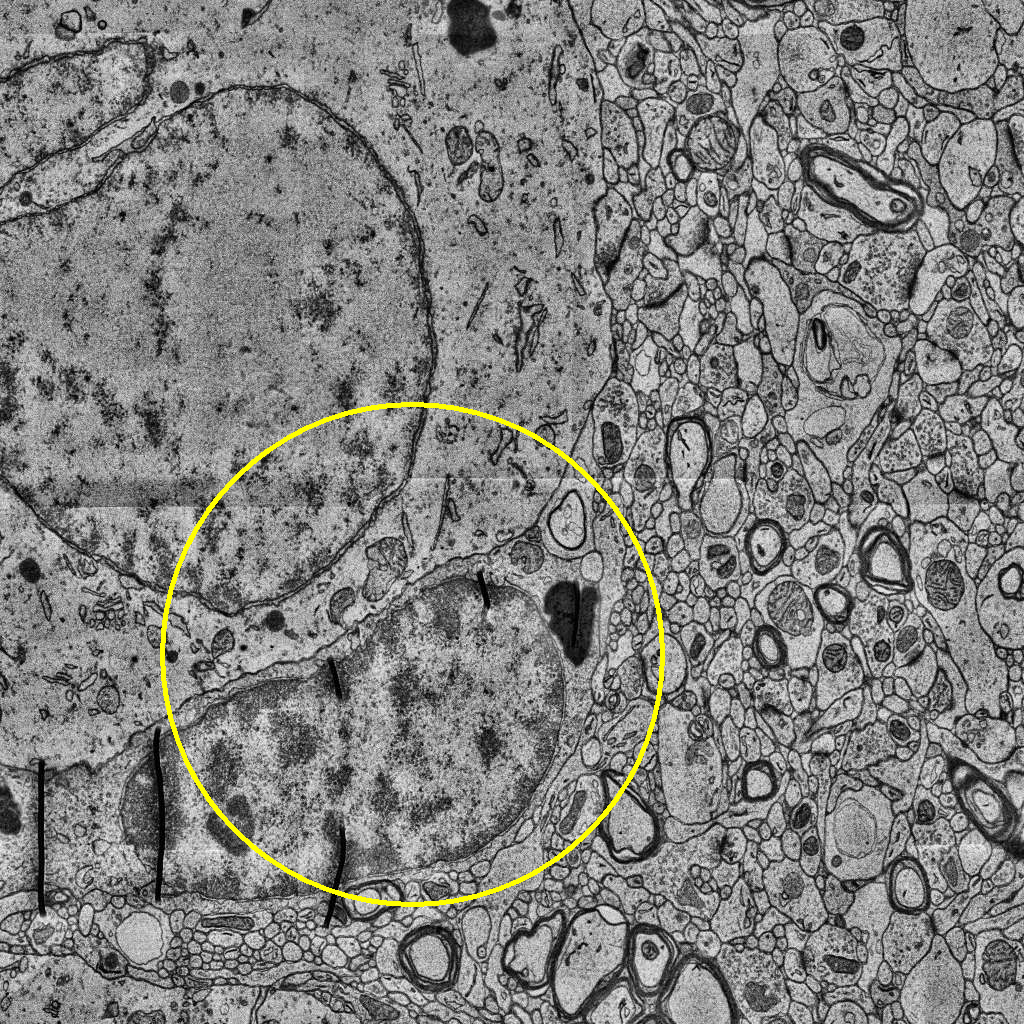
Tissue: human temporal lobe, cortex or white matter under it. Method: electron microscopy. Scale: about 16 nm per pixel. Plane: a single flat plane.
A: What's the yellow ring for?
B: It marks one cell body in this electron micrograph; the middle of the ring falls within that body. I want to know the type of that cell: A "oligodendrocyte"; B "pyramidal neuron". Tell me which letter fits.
A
